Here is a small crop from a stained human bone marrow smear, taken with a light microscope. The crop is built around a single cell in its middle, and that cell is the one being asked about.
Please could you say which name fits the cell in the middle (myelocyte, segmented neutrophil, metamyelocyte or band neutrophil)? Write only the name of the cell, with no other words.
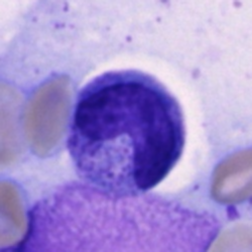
metamyelocyte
